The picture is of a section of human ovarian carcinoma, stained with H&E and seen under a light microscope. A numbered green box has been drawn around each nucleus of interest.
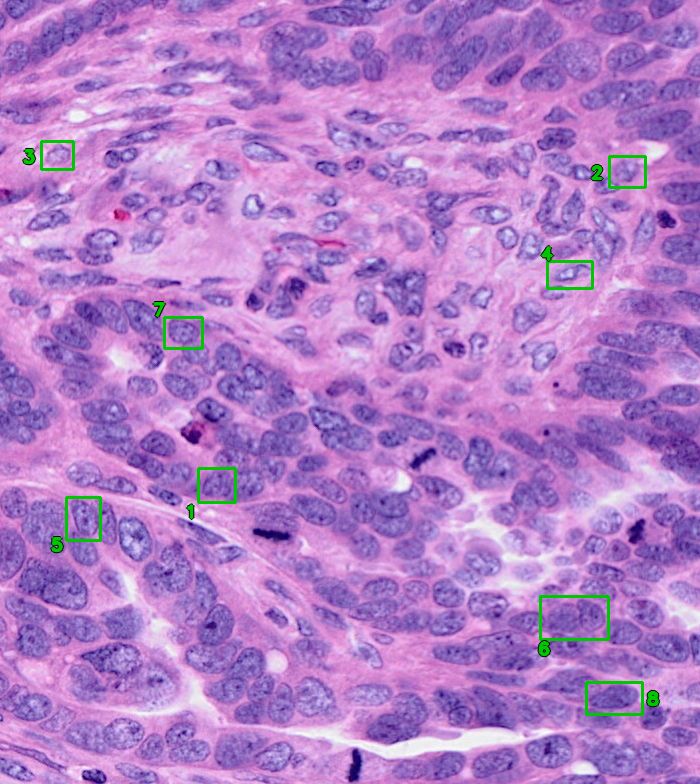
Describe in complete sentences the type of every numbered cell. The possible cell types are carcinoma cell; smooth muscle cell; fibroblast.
Cell 1 is a carcinoma cell, cell 2 is a fibroblast, cell 3 is a fibroblast, cell 4 is a fibroblast, cell 5 is a carcinoma cell, cell 6 is a carcinoma cell, cell 7 is a carcinoma cell and cell 8 is a carcinoma cell.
